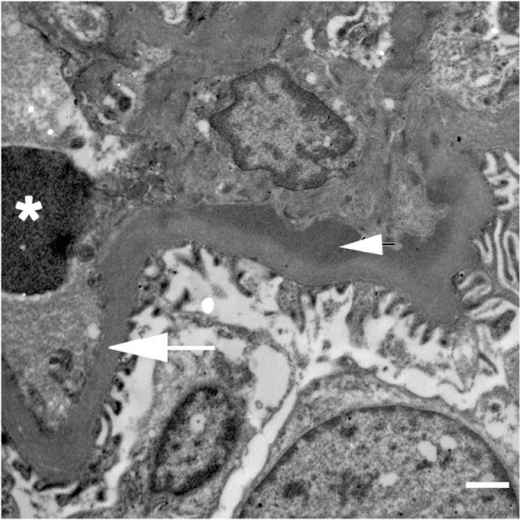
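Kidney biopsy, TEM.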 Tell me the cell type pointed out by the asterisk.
erythrocyte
